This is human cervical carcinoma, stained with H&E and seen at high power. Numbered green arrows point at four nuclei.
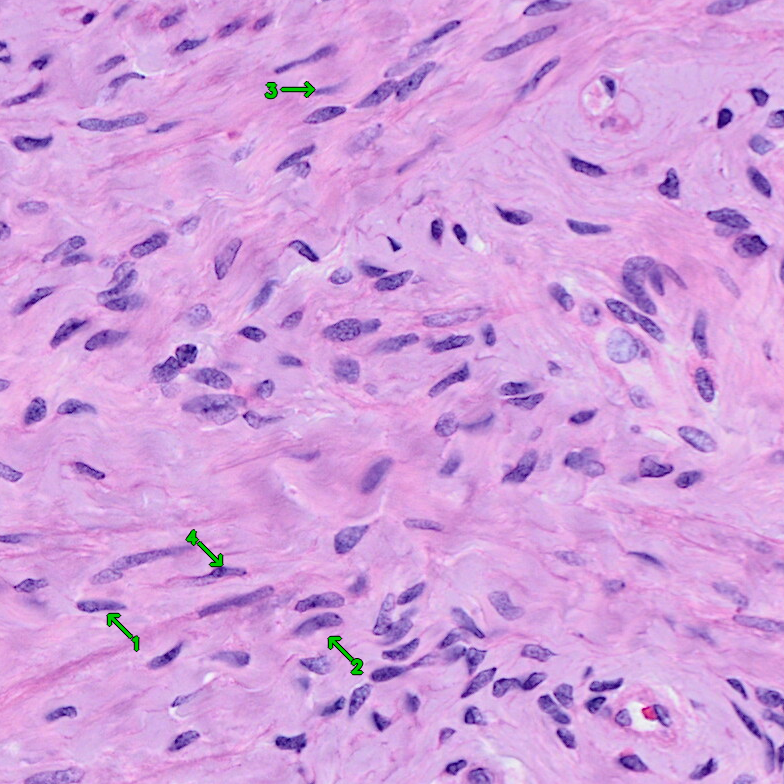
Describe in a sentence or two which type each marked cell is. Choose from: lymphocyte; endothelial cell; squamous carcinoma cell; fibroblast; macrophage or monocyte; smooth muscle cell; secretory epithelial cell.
Cell 1 is a fibroblast, cell 2 is a fibroblast, cell 3 is a fibroblast and cell 4 is a smooth muscle cell.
